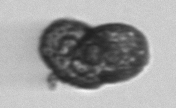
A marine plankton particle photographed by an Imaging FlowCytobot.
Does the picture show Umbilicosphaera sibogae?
Yes.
